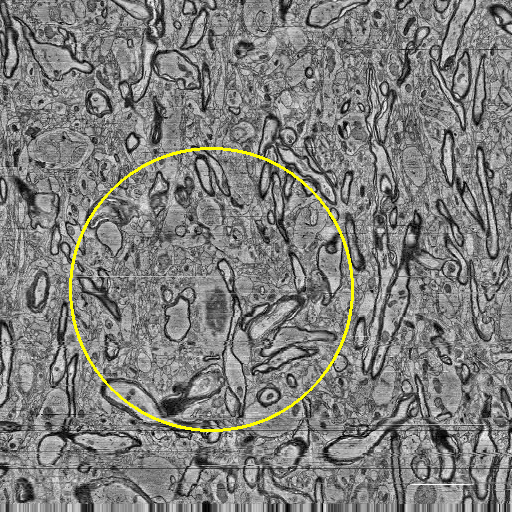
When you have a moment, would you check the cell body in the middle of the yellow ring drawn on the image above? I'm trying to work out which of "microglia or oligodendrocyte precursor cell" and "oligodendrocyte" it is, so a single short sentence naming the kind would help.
This cell body belongs to an oligodendrocyte.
